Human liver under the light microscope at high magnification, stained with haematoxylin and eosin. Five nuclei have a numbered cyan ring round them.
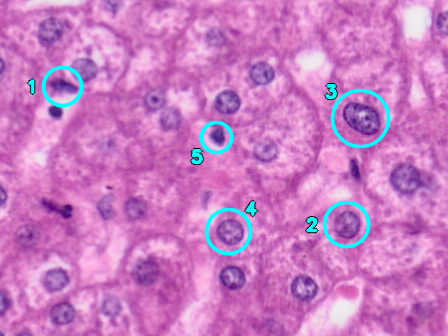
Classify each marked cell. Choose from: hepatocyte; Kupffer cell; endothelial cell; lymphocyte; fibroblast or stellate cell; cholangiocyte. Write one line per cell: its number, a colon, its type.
1: endothelial cell
2: hepatocyte
3: hepatocyte
4: hepatocyte
5: lymphocyte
